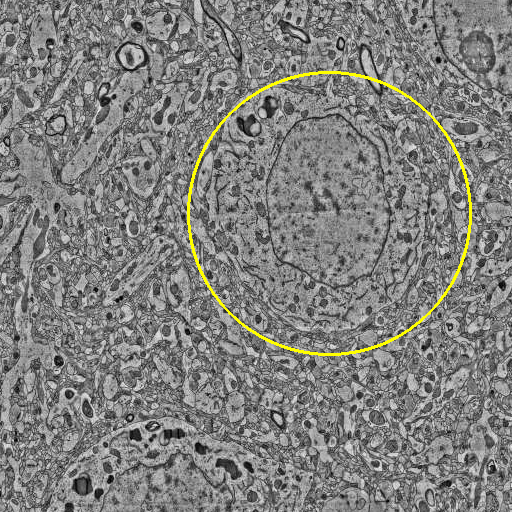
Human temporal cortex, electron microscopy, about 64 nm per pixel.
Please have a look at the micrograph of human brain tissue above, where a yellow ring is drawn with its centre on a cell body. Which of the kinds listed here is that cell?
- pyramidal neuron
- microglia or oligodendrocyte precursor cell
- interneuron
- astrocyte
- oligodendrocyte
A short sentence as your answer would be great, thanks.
At the centre of the ring sits a pyramidal neuron.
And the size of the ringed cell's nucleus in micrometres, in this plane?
In this plane the nucleus measures roughly 11 by 8 micrometers.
